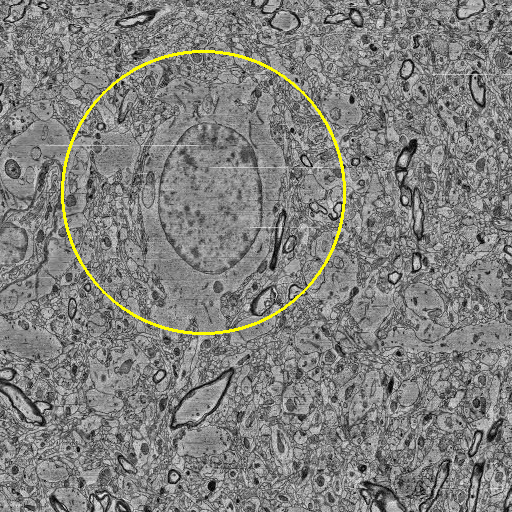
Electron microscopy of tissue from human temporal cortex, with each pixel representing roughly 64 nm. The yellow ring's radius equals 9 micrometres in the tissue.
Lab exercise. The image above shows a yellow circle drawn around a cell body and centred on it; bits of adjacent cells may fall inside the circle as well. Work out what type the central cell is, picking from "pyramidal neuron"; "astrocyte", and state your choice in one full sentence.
In the image above, the cell at the centre of the yellow circle is an astrocyte.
